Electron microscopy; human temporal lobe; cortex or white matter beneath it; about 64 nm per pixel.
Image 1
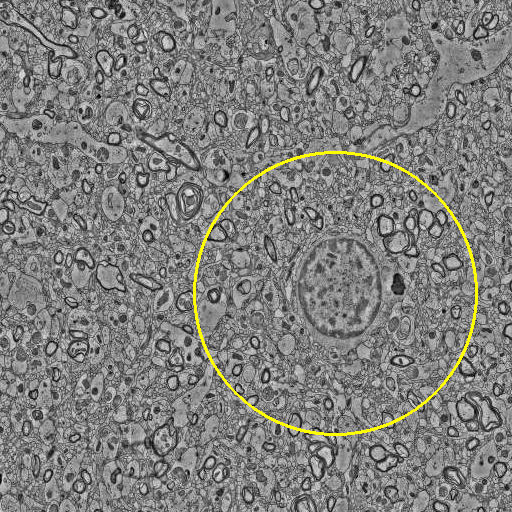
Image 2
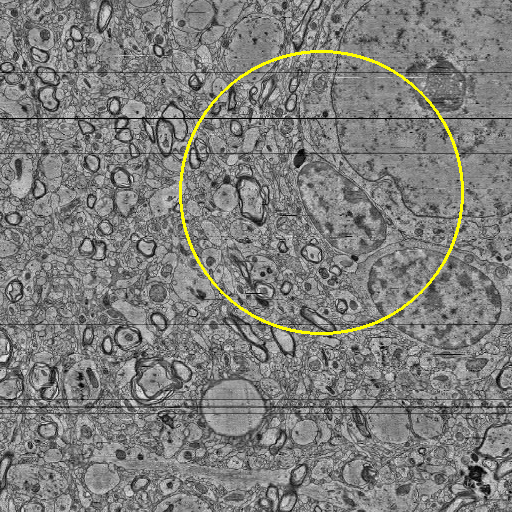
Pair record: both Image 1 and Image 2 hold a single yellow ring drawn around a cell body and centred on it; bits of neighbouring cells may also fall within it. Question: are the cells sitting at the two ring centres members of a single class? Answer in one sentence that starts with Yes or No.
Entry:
No, the ring-centre cells in Image 1 and Image 2 come from two classes.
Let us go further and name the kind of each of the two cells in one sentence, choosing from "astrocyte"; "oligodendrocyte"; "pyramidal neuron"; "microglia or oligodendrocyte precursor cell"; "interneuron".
The ring of the first picture is on an oligodendrocyte, the ring of the second on a microglial cell or oligodendrocyte precursor cell.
